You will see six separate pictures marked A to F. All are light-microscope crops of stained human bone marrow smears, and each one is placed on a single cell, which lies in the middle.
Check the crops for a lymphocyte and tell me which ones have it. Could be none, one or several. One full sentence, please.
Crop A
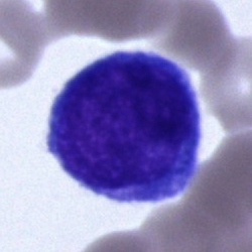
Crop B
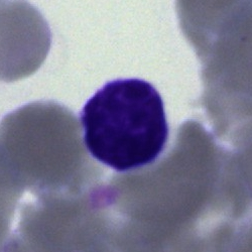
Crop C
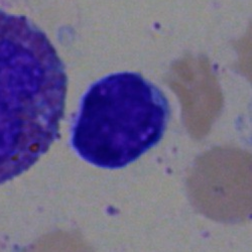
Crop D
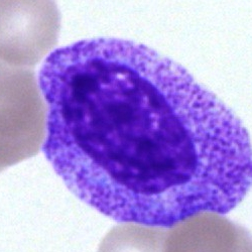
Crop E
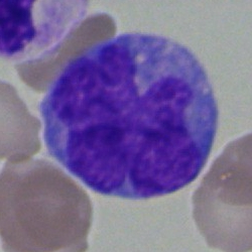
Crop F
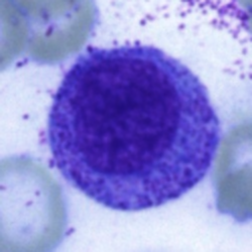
That crops B and C show lymphocytes is the identification made here.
